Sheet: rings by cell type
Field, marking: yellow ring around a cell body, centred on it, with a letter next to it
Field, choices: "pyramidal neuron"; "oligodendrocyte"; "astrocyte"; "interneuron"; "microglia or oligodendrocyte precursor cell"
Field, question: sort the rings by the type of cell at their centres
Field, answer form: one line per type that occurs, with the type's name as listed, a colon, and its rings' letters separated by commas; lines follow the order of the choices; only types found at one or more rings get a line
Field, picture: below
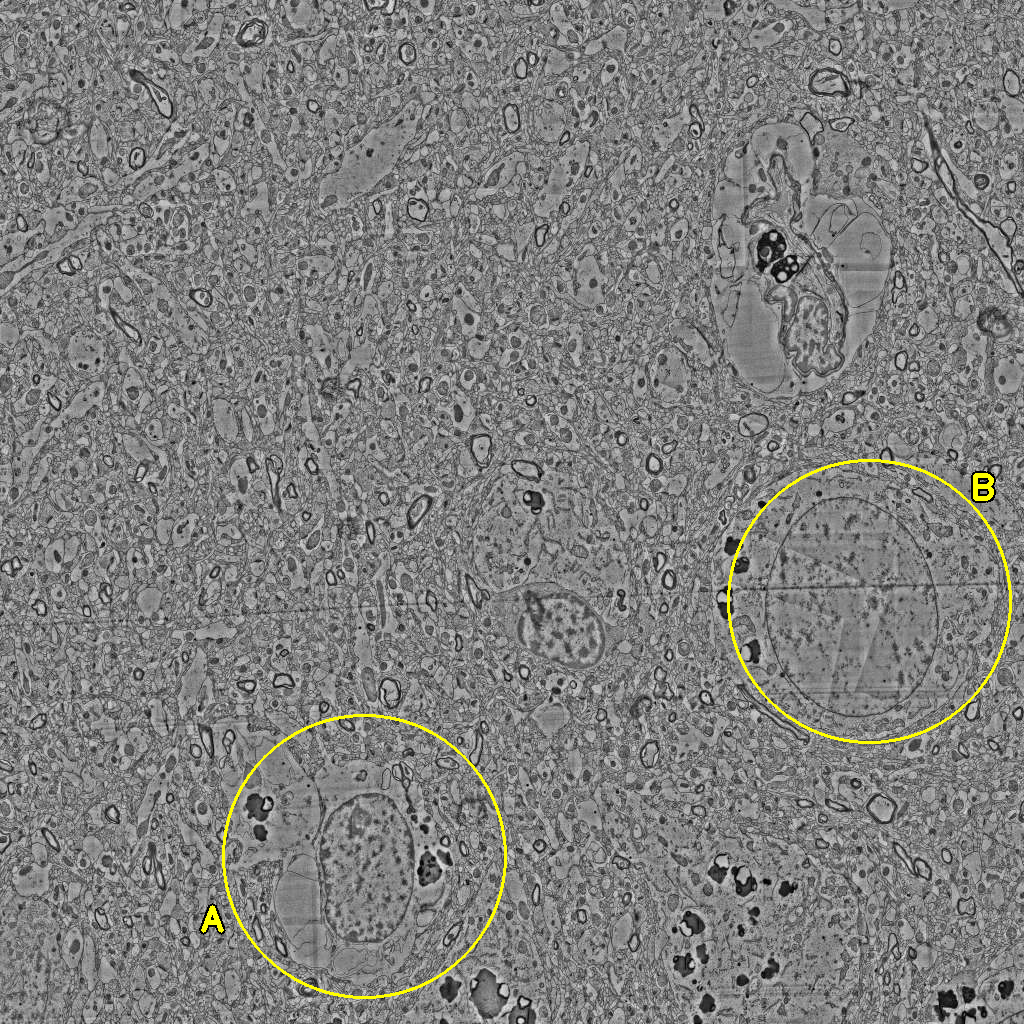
pyramidal neuron: B
astrocyte: A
